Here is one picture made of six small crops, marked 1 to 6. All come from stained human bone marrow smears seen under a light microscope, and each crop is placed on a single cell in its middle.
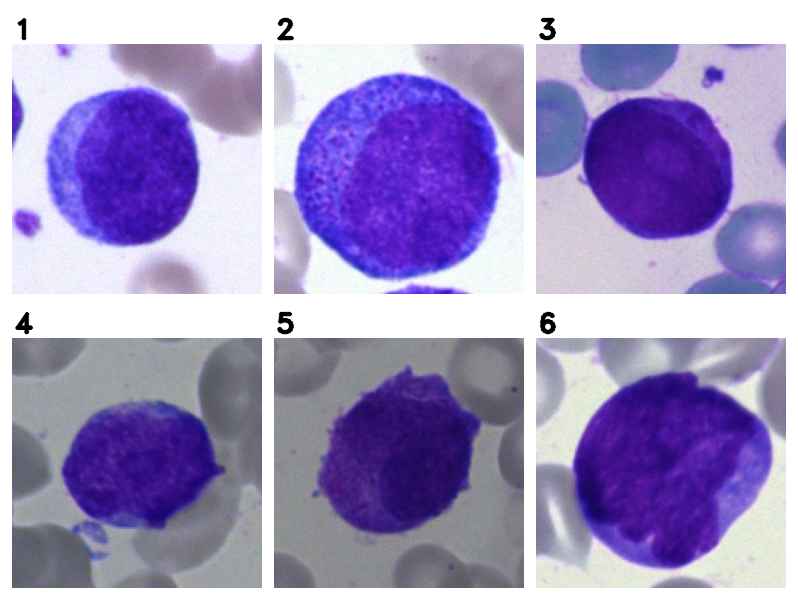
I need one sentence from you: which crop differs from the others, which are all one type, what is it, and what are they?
Crop 2 is a promyelocyte, while the rest of the set consists of blasts.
